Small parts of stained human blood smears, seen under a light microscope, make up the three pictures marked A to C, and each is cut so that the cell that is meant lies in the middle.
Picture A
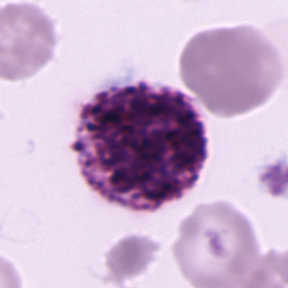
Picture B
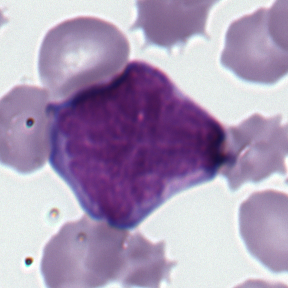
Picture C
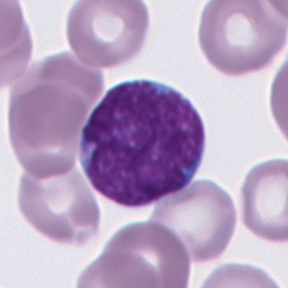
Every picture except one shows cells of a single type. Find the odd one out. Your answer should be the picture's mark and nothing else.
A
